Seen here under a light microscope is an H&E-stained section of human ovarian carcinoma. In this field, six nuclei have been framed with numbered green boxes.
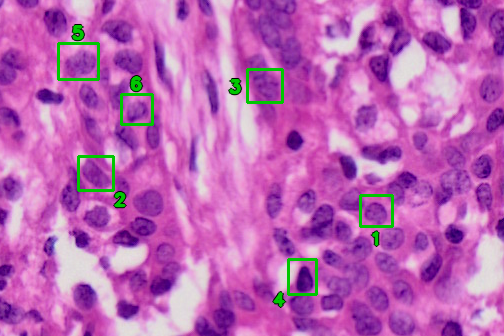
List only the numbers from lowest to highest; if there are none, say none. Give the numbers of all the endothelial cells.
none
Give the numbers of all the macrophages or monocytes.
1, 6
